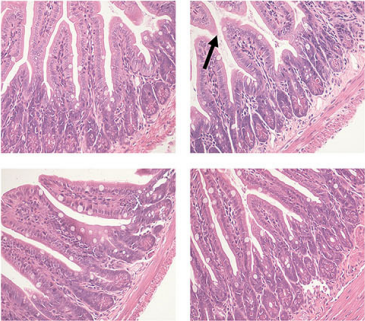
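These are sections of intestinal mucosa stained pink and purple, showing finger-like projections lined by a single layer of tall columnar epithelium with purple, basally placed nuclei and scattered pale goblet cells. The projections rest on glandular crypts above a thin pink muscular layer, and in one image a black arrow marks a projection whose epithelial lining looks disrupted.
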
